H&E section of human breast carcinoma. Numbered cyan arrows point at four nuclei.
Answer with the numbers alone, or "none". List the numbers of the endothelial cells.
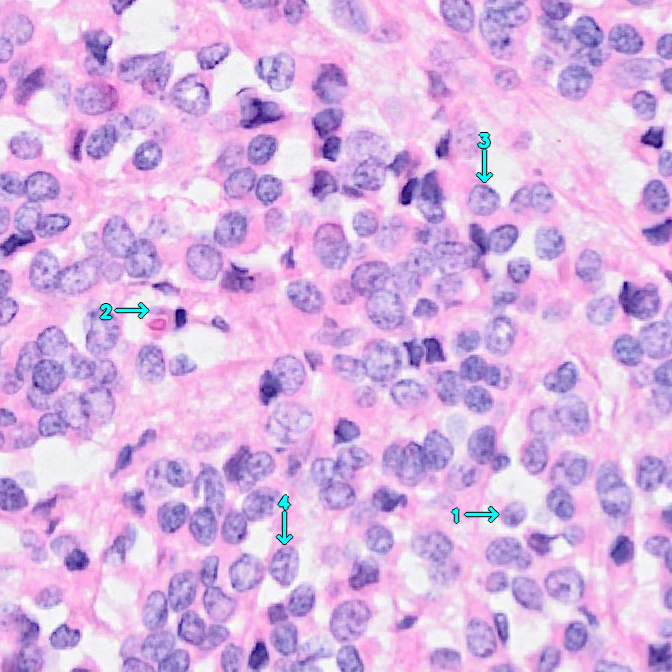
2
